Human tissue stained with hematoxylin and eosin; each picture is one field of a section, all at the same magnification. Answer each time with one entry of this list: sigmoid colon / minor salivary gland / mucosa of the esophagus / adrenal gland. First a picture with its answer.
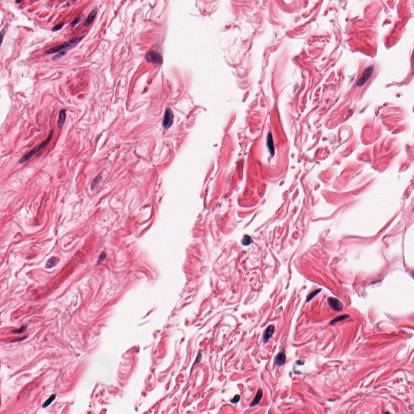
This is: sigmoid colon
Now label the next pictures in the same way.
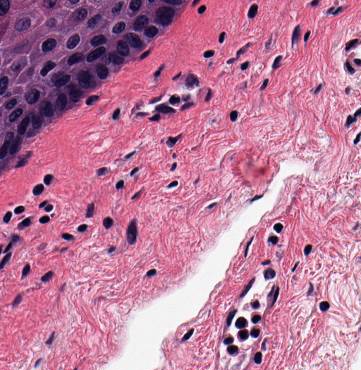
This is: mucosa of the esophagus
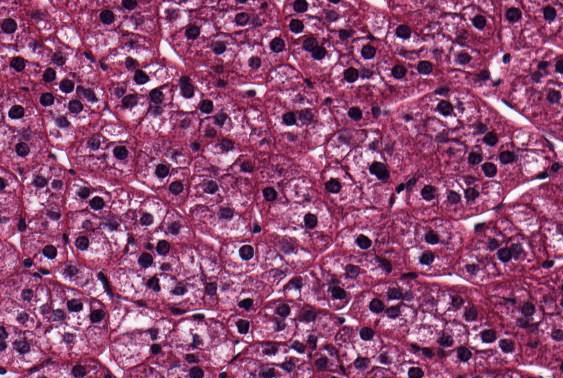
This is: adrenal gland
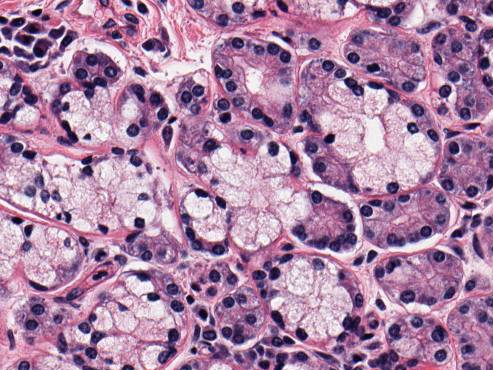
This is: minor salivary gland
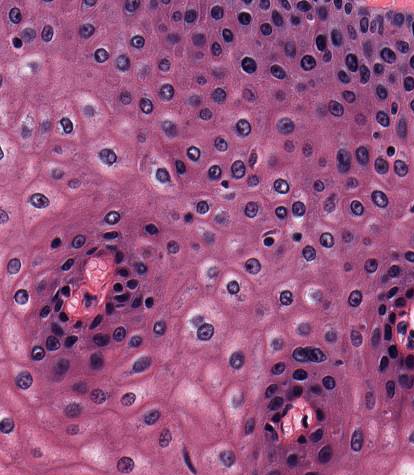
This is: mucosa of the esophagus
